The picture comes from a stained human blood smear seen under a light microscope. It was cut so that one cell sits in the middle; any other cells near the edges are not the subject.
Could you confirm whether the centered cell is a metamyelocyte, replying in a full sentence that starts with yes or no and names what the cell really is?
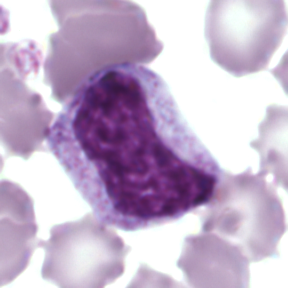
Yes, the cell in the middle is recognised as a metamyelocyte.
